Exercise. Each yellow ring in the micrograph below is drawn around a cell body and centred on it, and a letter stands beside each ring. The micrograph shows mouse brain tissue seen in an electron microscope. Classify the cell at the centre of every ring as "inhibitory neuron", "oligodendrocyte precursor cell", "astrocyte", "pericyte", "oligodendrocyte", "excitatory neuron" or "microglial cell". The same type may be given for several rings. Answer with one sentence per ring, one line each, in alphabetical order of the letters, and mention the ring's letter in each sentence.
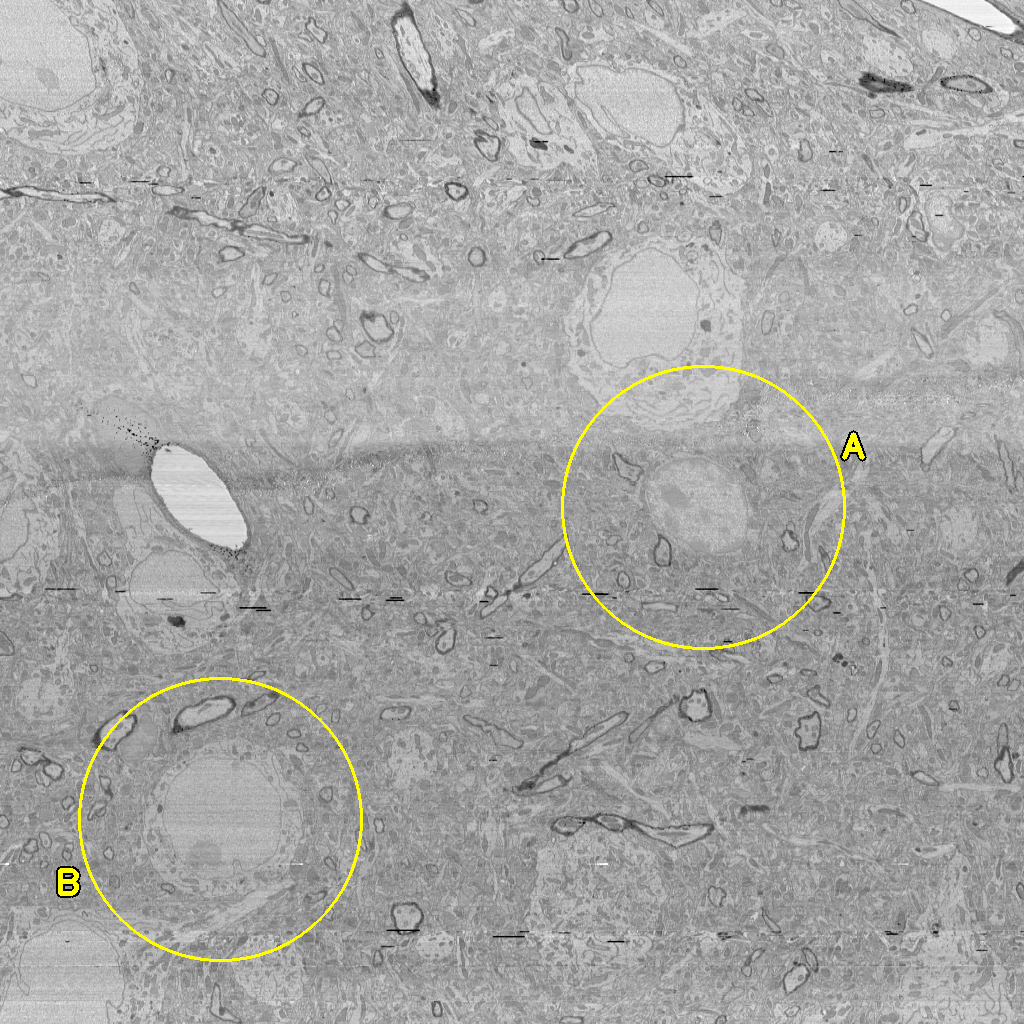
In ring A, the central cell is an oligodendrocyte.
In ring B, the central cell is an excitatory neuron.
